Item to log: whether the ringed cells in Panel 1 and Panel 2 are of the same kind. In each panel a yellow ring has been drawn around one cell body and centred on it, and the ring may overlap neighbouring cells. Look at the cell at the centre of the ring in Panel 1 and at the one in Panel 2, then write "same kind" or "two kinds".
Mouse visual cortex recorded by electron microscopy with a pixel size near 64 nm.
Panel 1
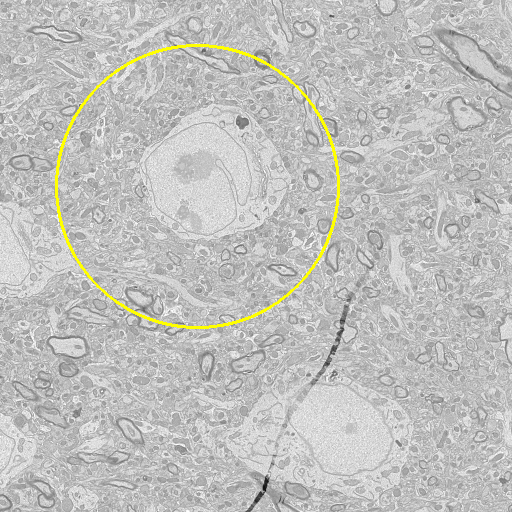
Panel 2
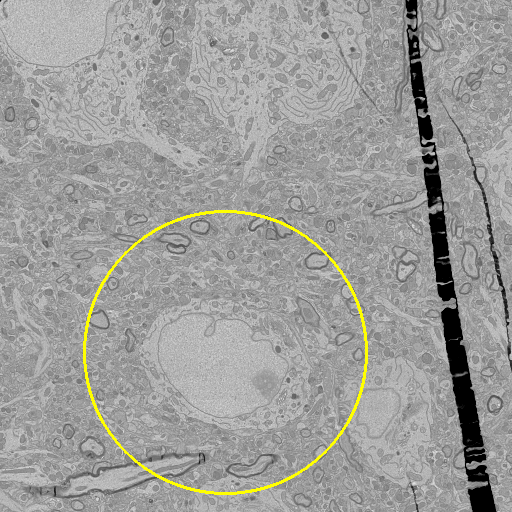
same kind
